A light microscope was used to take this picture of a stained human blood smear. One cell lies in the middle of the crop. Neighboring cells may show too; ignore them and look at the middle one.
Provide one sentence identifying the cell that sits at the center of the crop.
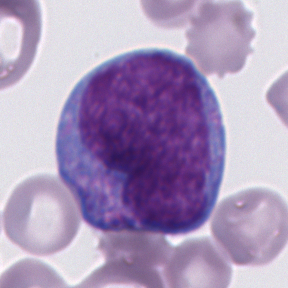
The single cell at the center of the crop is a promyelocyte.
